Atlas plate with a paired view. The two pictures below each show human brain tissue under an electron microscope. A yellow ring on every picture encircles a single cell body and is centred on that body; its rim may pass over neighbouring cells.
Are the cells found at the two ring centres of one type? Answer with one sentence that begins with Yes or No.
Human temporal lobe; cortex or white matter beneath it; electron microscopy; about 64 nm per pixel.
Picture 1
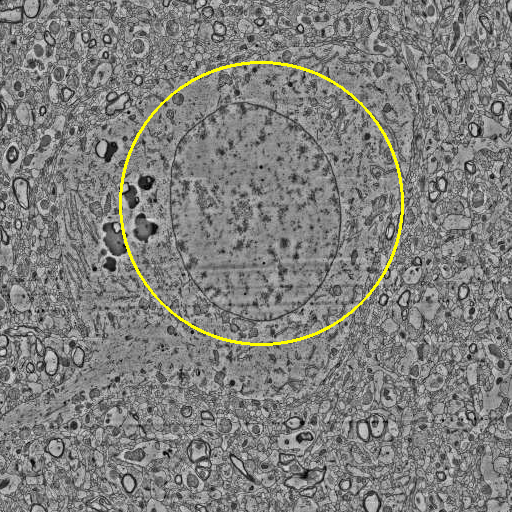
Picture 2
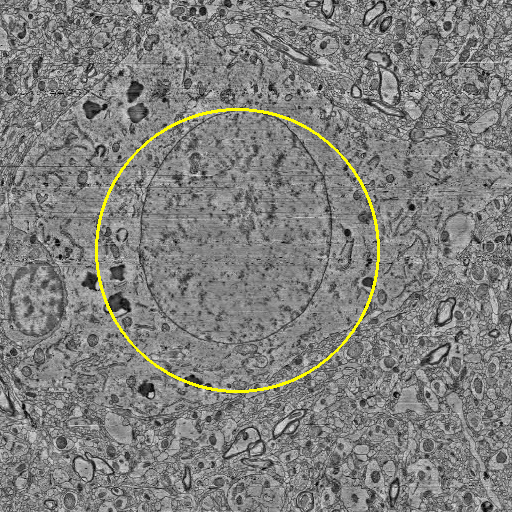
Yes, the two cells lying at the centres of the rings share a single type.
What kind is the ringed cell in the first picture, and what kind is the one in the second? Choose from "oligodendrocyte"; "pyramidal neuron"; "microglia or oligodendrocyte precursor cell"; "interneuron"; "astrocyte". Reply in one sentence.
In each of the two pictures, the ringed cell is a pyramidal neuron.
